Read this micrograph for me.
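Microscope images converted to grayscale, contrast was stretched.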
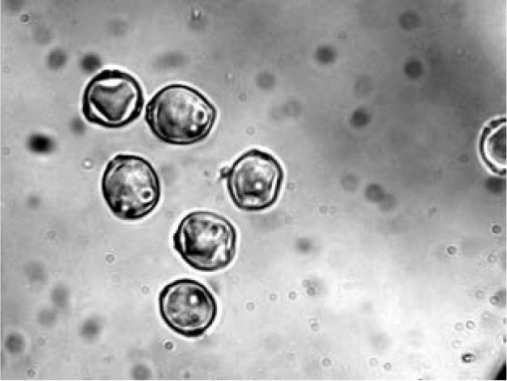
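Loose group of rounded pollen grains of near uniform size on a plain, faintly speckled background. Each grain has a thick, dark, refractile wall enclosing a paler granular interior, and some outlines show small bulges.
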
